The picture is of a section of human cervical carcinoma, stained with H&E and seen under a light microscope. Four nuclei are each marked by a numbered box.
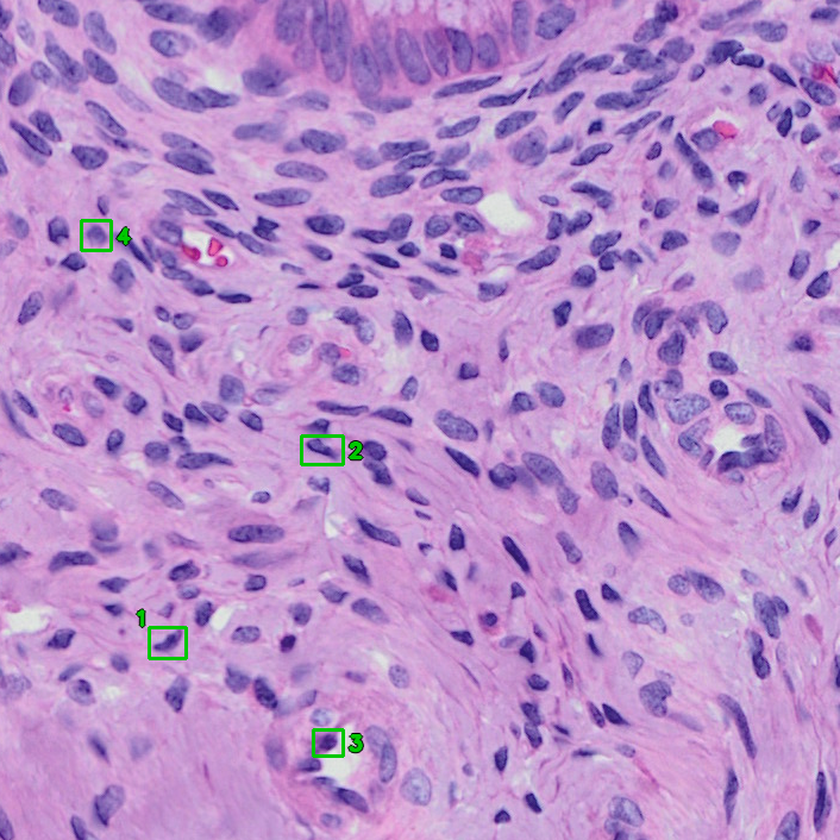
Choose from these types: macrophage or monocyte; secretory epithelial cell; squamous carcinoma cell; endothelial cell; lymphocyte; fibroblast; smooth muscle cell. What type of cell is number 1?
fibroblast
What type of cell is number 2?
fibroblast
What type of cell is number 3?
endothelial cell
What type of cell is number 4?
fibroblast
